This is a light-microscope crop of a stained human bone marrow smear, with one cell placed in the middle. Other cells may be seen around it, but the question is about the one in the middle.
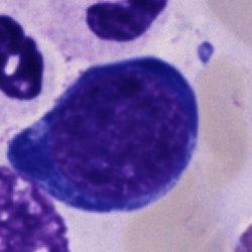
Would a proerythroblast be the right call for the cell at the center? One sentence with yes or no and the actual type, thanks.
Yes, the middle cell of the field is a proerythroblast.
